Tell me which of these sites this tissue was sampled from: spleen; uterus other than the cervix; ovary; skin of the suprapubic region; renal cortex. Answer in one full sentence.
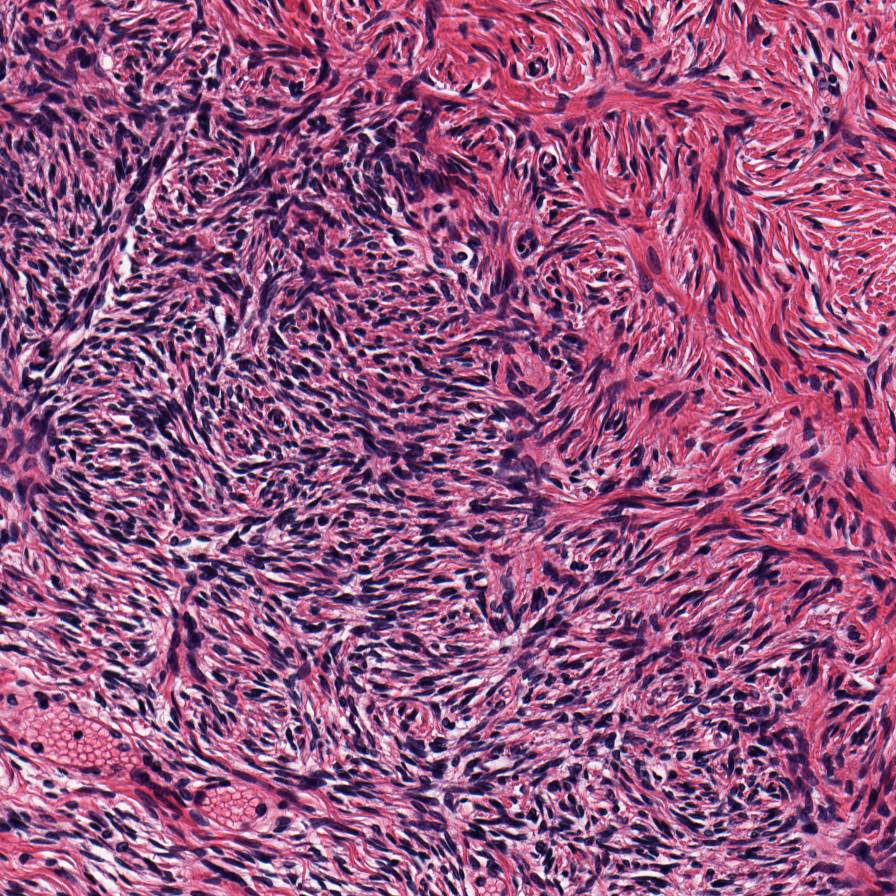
Sampling of this tissue was done from the ovary.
